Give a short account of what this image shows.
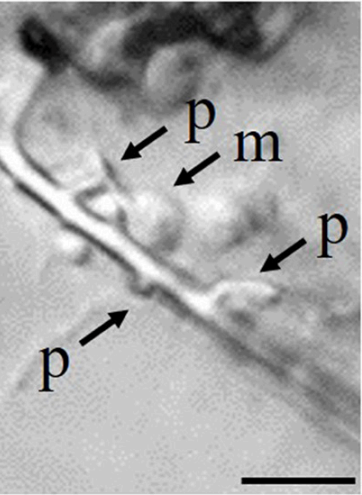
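A bright, smooth rod crosses the field diagonally from upper left to lower right. Several short, irregular spurs and knobs project from its surface, some toward the cells above it and one below. Above the rod lies a cluster of rounded, smooth-outlined cells pressed against the skeleton, with soft relief edges typical of interference contrast. Toward the upper part of the field the tissue is darker and less sharply resolved.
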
